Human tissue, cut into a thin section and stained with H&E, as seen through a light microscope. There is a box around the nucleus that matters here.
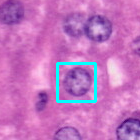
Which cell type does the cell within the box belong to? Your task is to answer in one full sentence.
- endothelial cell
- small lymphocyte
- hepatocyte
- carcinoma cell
To be brief about it, the cell within the box is a hepatocyte.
